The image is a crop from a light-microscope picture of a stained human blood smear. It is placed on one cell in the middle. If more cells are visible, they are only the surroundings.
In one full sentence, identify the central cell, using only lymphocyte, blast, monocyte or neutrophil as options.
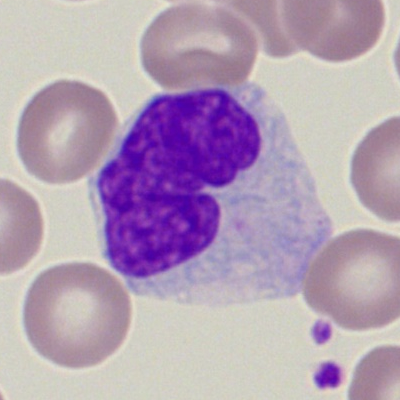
Answering briefly, the cell in the middle is a monocyte.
